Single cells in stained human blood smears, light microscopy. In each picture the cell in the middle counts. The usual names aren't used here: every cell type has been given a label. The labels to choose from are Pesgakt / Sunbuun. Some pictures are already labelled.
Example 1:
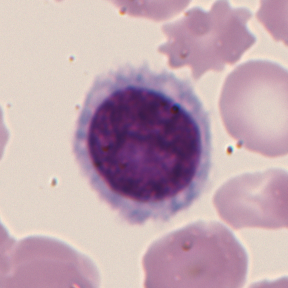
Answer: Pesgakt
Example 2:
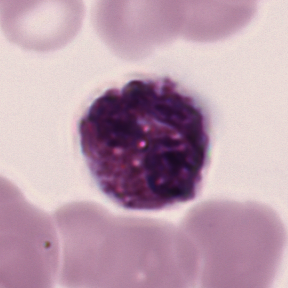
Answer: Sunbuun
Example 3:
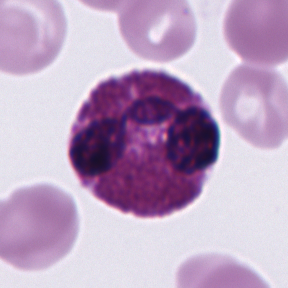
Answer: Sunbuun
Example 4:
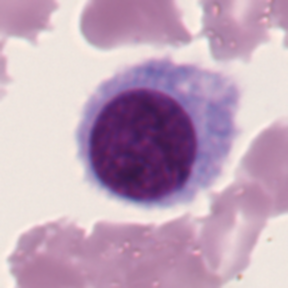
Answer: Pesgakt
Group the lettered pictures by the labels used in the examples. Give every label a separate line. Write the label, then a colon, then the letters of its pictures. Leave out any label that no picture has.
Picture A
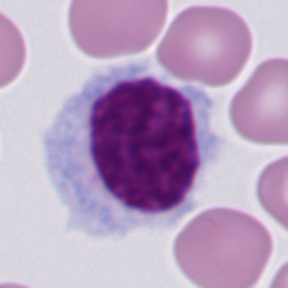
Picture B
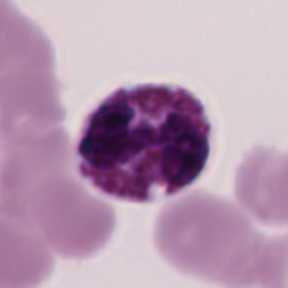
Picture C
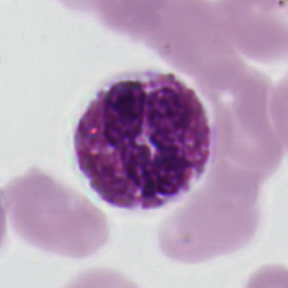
Pesgakt: A
Sunbuun: B, C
